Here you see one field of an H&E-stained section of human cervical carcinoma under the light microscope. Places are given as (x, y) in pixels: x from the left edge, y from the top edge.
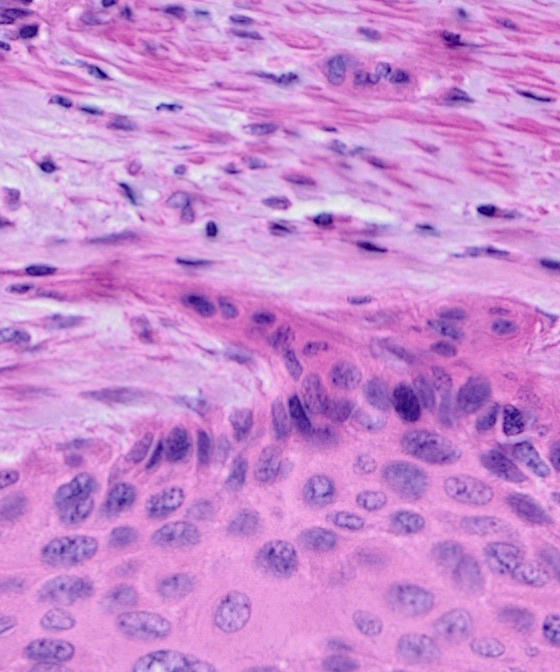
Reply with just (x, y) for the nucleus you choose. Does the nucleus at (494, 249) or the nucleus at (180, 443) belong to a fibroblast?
(494, 249)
